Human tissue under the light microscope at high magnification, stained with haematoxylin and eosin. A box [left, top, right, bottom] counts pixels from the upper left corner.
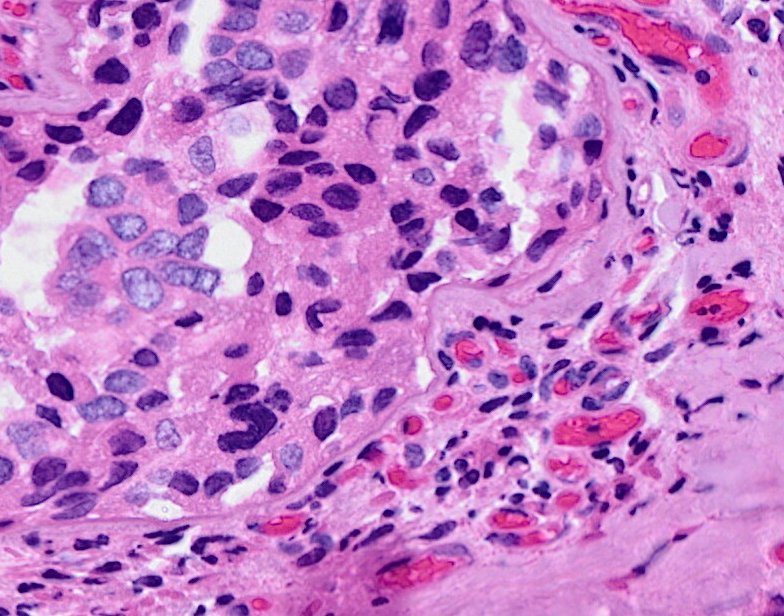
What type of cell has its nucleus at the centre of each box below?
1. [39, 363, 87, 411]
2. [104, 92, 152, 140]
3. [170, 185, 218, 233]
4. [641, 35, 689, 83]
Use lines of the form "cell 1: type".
cell 1: carcinoma cell
cell 2: carcinoma cell
cell 3: carcinoma cell
cell 4: endothelial cell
